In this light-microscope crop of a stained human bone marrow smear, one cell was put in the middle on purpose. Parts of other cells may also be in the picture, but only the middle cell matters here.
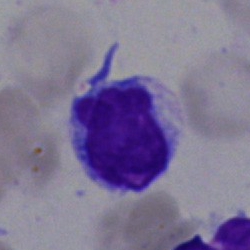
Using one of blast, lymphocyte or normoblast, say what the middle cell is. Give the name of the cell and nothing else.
lymphocyte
